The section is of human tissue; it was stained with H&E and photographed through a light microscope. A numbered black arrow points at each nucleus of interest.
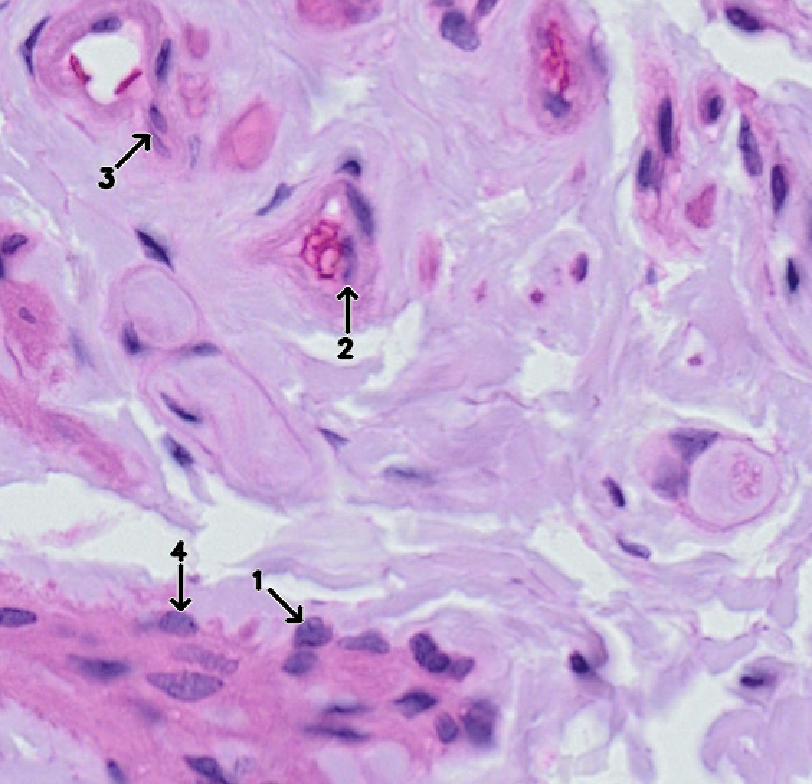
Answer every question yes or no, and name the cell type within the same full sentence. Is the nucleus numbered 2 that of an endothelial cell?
Yes, with respect to number 2, the cell is an endothelial cell.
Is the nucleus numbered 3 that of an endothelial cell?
Yes, the cell tagged with number 3 is an endothelial cell.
